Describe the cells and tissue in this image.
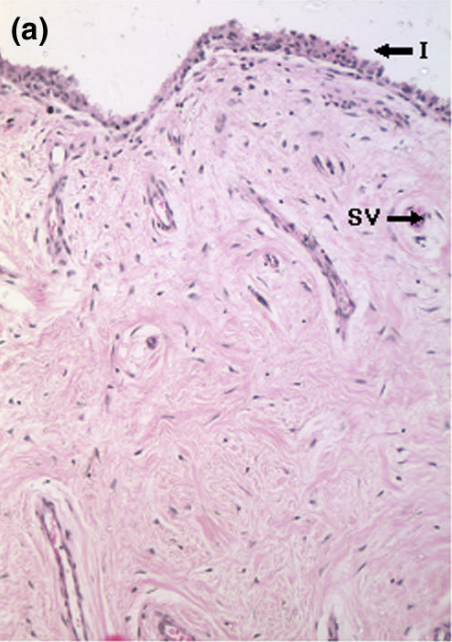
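This is synovium, with a thin lining of closely set purple nuclei along the upper free surface, only a few cells thick. Beneath it lies a broad subintima of pale pink, wavy fibrous matrix in which sparse spindle-shaped nuclei are scattered. Several small vessels cross the field, some cut lengthwise as narrow channels lined by flattened nuclei, others cut across as round profiles wrapped in concentric fibrous tissue. Few inflammatory cells are seen, so the tissue looks only mildly cellular.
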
